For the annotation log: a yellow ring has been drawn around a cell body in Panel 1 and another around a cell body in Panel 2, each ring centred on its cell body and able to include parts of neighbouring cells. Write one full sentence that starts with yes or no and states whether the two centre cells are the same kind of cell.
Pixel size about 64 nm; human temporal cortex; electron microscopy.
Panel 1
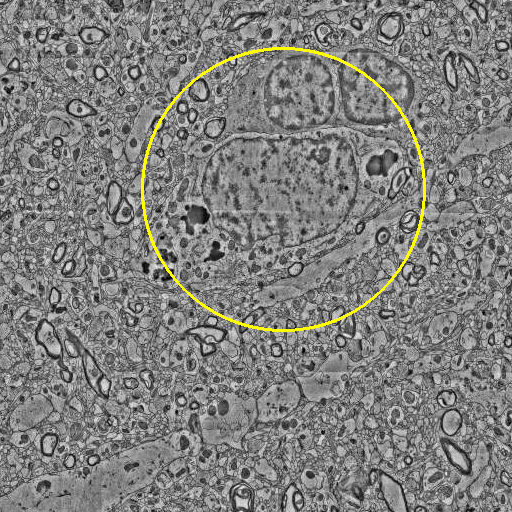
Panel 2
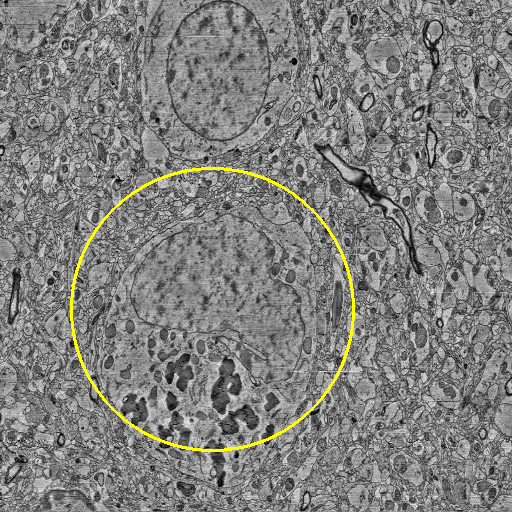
Yes, the two centre cells are the same kind of cell.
